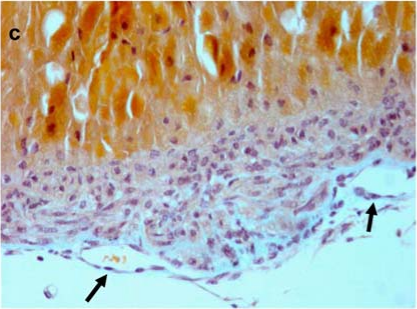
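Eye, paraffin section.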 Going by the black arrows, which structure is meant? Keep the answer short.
blood vessels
